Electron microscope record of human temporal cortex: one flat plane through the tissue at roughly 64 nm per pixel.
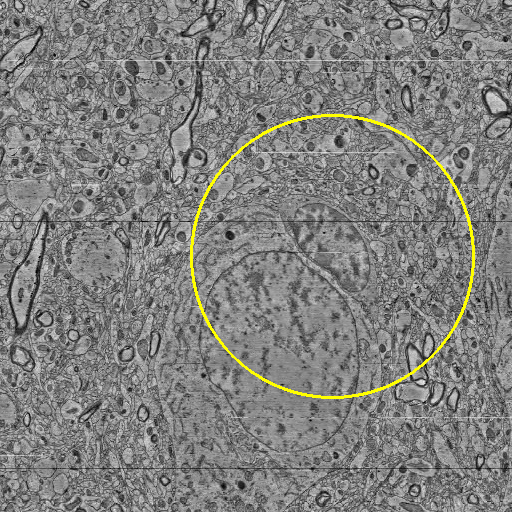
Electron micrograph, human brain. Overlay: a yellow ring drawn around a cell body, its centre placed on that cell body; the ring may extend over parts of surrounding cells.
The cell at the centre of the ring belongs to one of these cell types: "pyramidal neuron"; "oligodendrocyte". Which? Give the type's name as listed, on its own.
oligodendrocyte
